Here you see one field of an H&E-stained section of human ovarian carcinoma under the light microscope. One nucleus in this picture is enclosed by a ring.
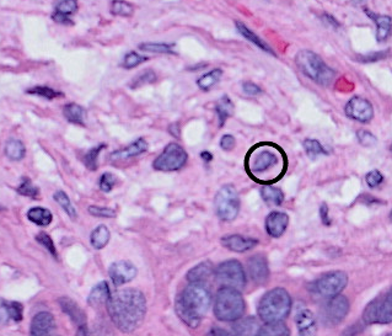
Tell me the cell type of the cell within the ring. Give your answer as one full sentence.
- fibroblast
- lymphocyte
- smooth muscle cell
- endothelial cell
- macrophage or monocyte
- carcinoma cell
Placed in its cell category, the cell within the ring is a fibroblast.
